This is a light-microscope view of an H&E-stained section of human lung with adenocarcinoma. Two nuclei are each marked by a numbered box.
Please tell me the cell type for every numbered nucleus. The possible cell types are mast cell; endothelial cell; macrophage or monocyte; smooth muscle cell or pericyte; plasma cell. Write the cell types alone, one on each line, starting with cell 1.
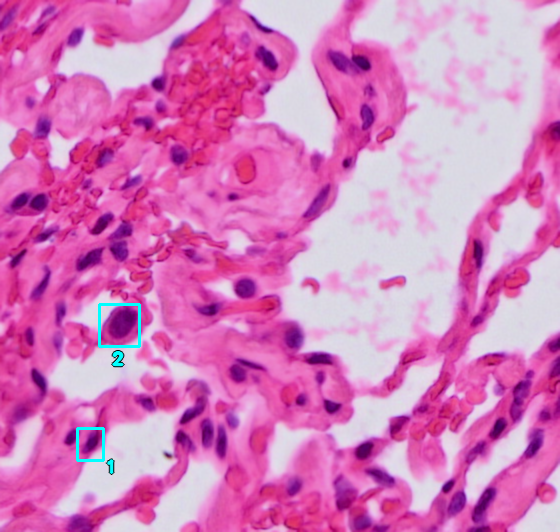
endothelial cell
macrophage or monocyte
